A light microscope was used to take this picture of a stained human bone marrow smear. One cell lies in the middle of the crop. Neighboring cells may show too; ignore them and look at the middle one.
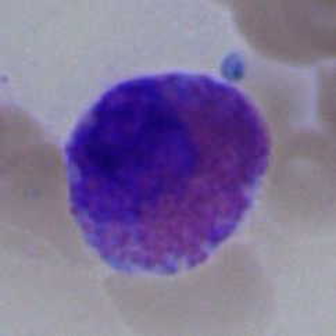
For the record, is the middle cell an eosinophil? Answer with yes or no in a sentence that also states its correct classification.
Yes, this central cell is an eosinophil.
